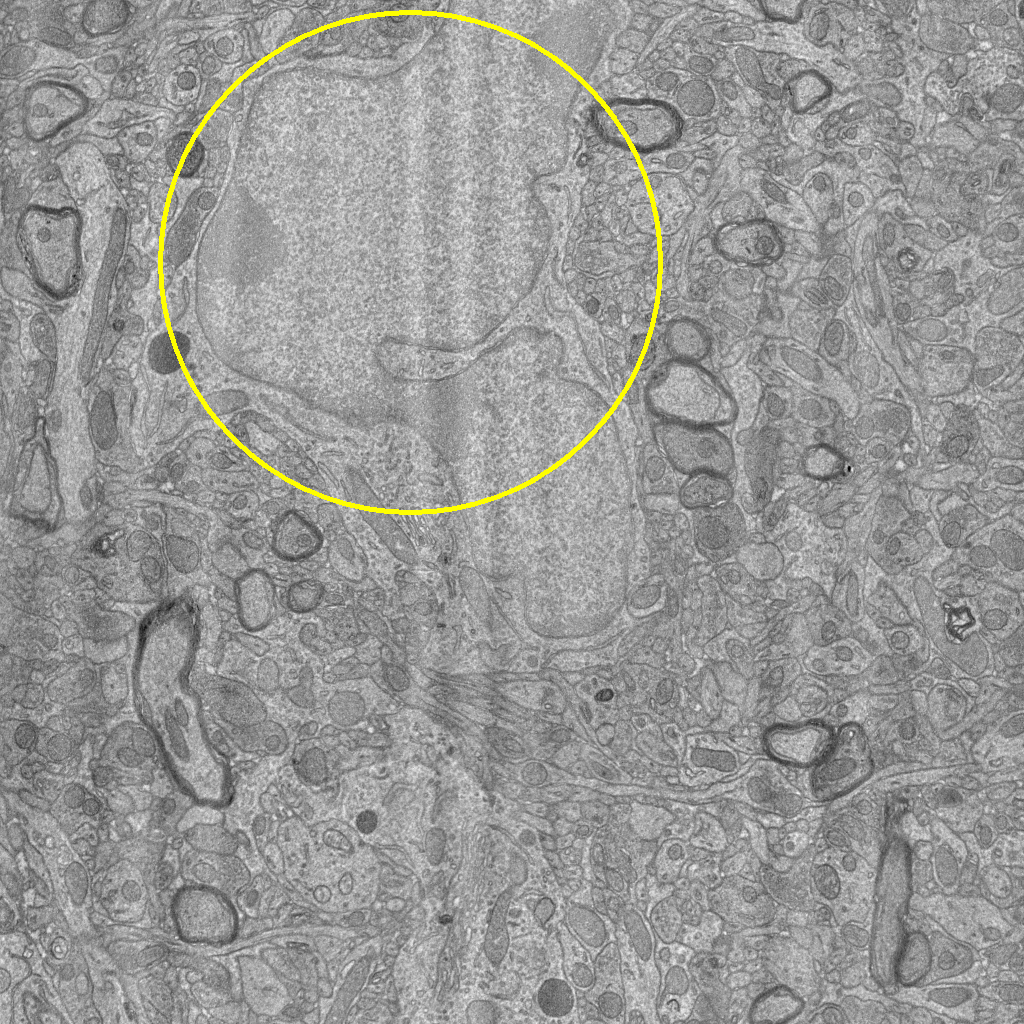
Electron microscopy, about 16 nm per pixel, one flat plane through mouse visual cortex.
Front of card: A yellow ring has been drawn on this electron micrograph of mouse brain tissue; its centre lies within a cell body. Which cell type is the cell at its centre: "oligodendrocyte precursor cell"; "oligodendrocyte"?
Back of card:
oligodendrocyte precursor cell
